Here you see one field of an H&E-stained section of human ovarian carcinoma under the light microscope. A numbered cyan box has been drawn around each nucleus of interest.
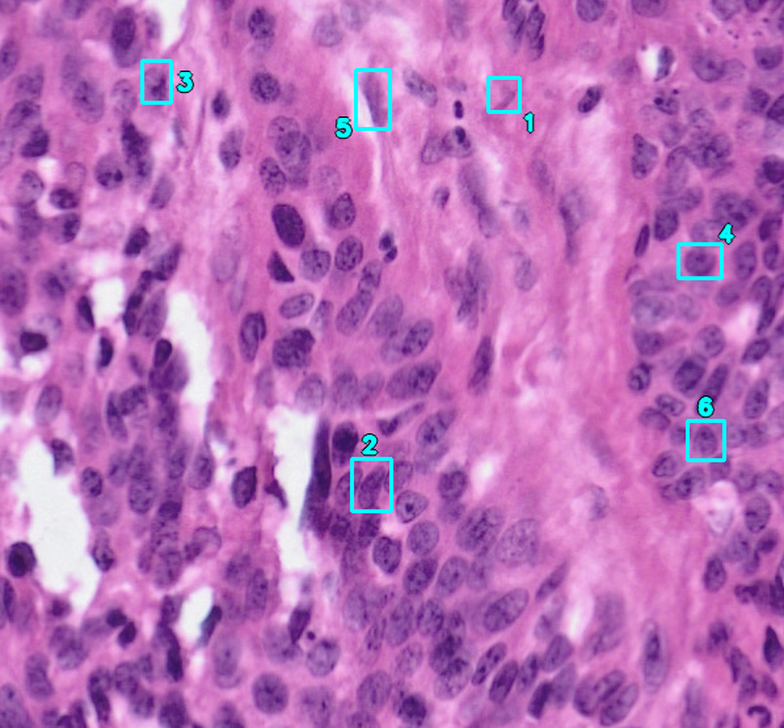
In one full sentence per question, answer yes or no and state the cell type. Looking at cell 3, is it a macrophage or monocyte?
Yes, the cell at marker 3 is a macrophage or monocyte.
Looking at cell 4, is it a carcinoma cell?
Yes, that is correct: the cell numbered 4 is a carcinoma cell.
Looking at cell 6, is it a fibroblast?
No, the cell given number 6 is a carcinoma cell, not a fibroblast.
